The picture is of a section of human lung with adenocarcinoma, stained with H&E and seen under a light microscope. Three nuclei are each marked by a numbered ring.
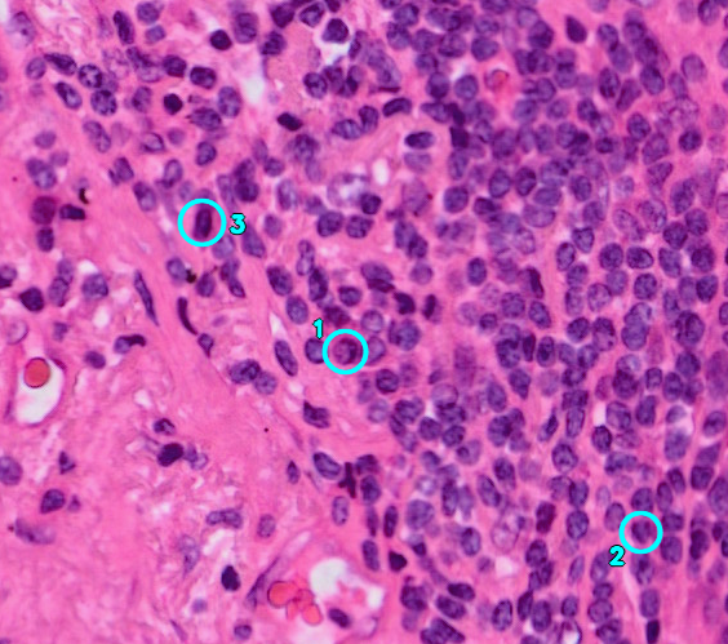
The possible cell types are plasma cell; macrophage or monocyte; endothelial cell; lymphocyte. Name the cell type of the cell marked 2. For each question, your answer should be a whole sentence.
The cell identified by the number 2 is a lymphocyte.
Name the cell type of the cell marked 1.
To a plasma cell belongs the nucleus marked 1.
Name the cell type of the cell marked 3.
The marked nucleus 3 is that of a plasma cell.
